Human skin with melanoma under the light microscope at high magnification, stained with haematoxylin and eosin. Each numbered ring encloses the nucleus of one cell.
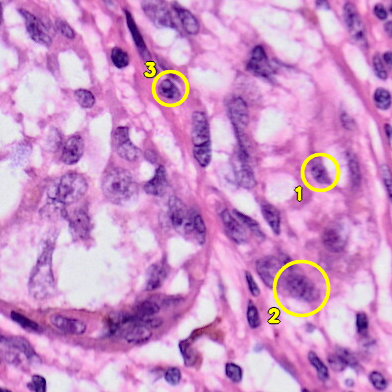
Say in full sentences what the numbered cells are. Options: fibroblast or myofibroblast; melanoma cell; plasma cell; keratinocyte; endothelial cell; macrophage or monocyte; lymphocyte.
Cells 1 and 2 are melanoma cells. Cell 3 is a lymphocyte.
